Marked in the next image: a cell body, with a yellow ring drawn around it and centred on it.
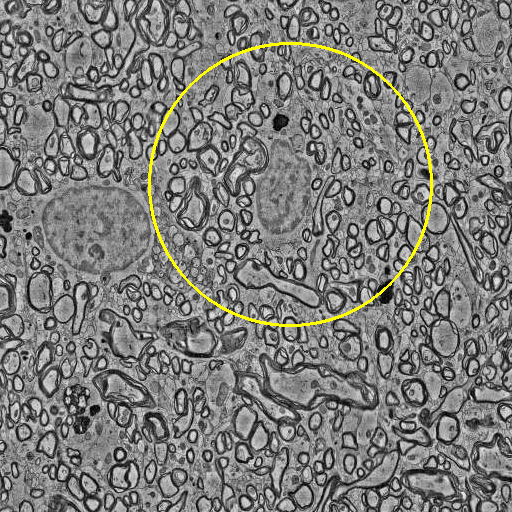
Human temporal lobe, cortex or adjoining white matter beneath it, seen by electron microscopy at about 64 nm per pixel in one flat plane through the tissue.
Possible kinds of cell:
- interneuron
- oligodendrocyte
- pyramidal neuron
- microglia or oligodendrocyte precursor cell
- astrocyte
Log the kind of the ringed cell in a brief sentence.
The ringed cell body is that of an oligodendrocyte.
